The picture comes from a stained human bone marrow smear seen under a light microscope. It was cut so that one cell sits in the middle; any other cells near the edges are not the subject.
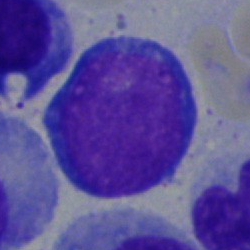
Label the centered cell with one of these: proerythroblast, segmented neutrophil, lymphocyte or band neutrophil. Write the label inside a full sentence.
The cell shown in the center of this light-microscope crop is a proerythroblast.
